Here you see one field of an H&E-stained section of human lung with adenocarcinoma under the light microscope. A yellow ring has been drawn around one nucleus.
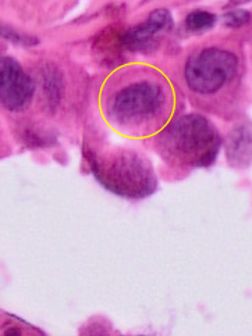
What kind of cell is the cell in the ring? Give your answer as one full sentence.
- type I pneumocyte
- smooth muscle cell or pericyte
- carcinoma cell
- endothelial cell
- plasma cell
To be brief about it, the cell in the ring is a carcinoma cell.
